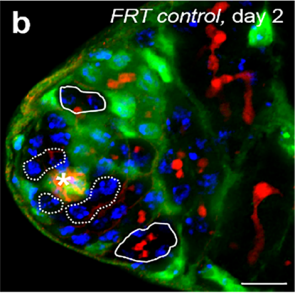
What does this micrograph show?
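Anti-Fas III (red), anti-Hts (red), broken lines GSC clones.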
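The apical end of a testis is seen with a small red-stained hub near the tip. Many blue nuclei of closely packed germ cells and somatic cells surround it, most within green-stained cytoplasm. Near the hub, small groups of cells lacking green are traced by dashed outlines.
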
